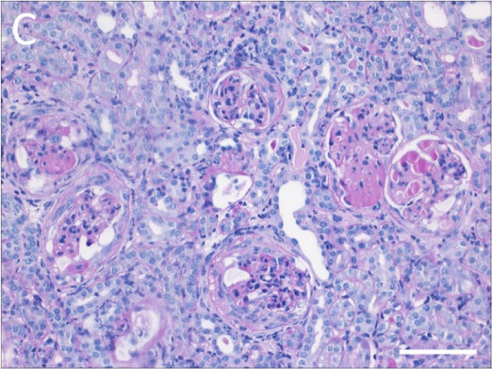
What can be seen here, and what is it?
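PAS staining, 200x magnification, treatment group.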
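This is kidney tissue in which the glomeruli are badly damaged: they are enlarged, their capillary tufts are distorted and partly filled with pink homogeneous material. Several are encircled by layers of cells and thickened pink rims within the capsule, and the space between the tubules is crowded with many nuclei.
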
